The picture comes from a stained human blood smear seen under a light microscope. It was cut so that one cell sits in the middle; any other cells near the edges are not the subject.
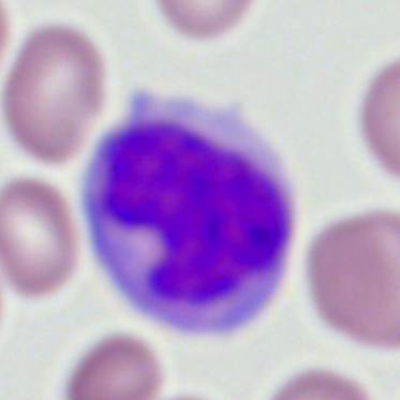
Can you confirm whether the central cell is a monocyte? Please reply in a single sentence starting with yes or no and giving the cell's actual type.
Yes, what sits in the middle of the crop is a monocyte.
